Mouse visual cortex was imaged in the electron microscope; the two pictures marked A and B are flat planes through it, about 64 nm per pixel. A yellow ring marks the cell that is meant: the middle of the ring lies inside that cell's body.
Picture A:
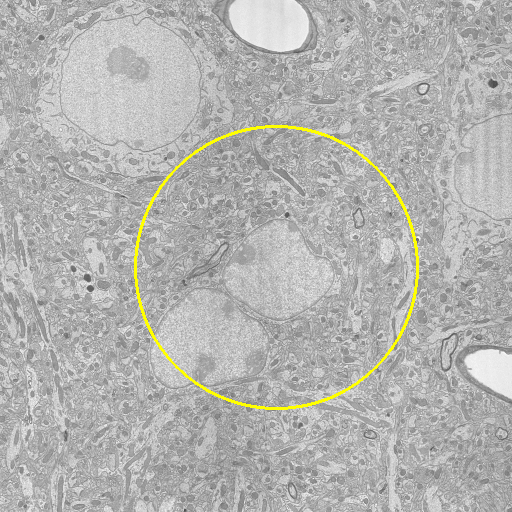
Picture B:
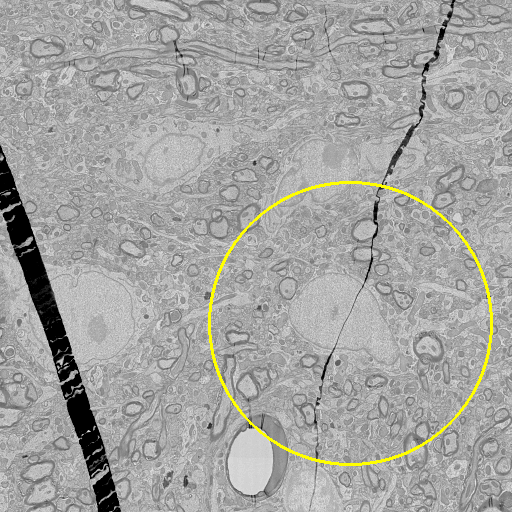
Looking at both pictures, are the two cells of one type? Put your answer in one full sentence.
Yes, the two pictures both show astrocytes.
